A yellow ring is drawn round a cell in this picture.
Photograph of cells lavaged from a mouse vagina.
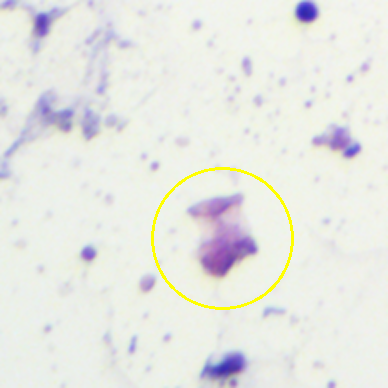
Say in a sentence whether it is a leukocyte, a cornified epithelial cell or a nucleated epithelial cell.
The cell in the ring is a cornified epithelial cell.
